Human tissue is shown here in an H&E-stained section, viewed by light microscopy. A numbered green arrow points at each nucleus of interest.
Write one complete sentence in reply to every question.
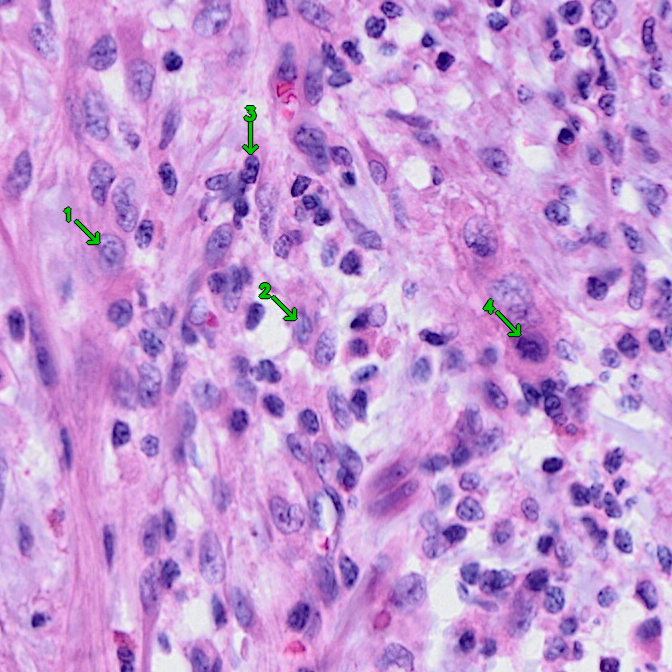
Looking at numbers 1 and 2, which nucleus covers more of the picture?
Nucleus 1 covers more area, about 2 times as much as nucleus 2.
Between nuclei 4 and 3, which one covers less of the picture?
Nucleus 3 covers less area, with nucleus 4 about 2 times as large.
